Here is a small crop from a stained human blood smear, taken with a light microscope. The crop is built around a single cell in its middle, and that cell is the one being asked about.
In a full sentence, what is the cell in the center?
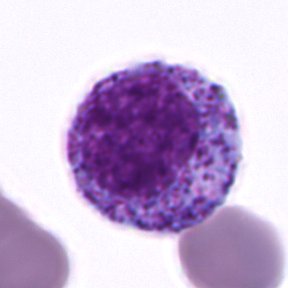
What sits at the centre of this crop is a promyelocyte.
